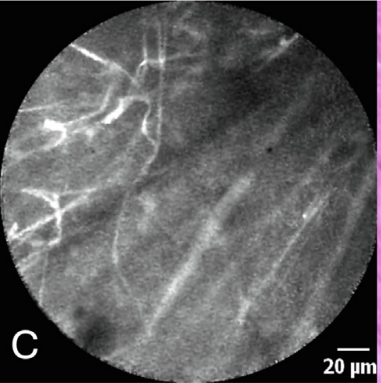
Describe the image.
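This endomicroscopic image shows muscle fibers as faint, elongated grey bands lying parallel to one another and running diagonally across the round field. Thin bright branching lines stand out mainly in the upper left part of the field.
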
